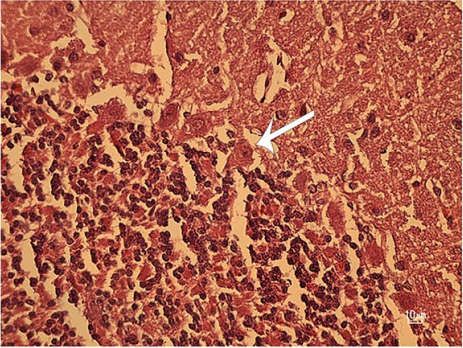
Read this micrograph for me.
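Cerebellar cortex with Purkinje cells at the boundary between the granular and molecular layers. Lower left holds a dense granular layer of small, round, dark-purple nuclei packed closely, separated by irregular pale clefts. Upper right is the pale pink, finely fibrillar molecular layer with scattered small nuclei. At the junction lie large rounded neurons with ample pink cytoplasm and a pale round nucleus, not shrunken and without a surrounding halo. Some larger pink cell bodies are scattered along the border.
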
